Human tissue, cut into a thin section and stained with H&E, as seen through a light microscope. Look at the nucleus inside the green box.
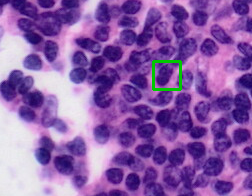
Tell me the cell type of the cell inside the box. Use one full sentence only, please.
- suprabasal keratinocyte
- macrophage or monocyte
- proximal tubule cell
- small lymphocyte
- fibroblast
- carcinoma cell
As a matter of cell type, the cell inside the box is a small lymphocyte.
